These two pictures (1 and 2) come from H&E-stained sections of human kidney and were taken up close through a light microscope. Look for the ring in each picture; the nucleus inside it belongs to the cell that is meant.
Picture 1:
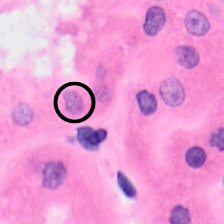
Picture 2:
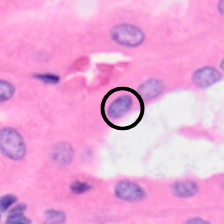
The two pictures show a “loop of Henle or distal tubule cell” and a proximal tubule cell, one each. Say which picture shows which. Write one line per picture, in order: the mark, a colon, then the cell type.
1: proximal tubule cell
2: loop of Henle or distal tubule cell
